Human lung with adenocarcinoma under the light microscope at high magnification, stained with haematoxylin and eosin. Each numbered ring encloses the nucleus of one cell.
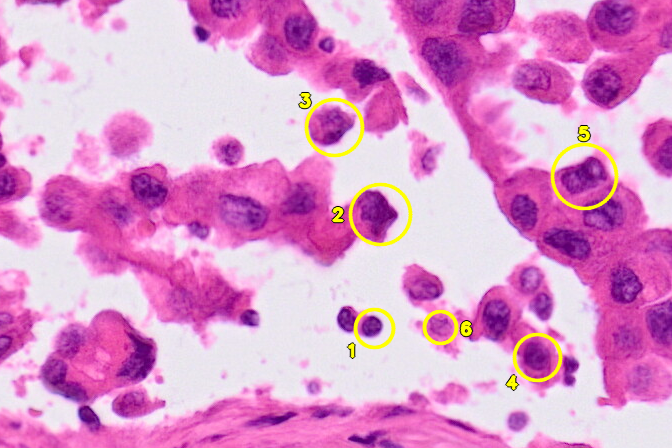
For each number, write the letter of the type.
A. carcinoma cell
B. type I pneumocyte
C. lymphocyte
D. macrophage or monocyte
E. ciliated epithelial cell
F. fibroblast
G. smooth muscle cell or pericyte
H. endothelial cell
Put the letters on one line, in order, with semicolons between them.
C; A; A; A; A; D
